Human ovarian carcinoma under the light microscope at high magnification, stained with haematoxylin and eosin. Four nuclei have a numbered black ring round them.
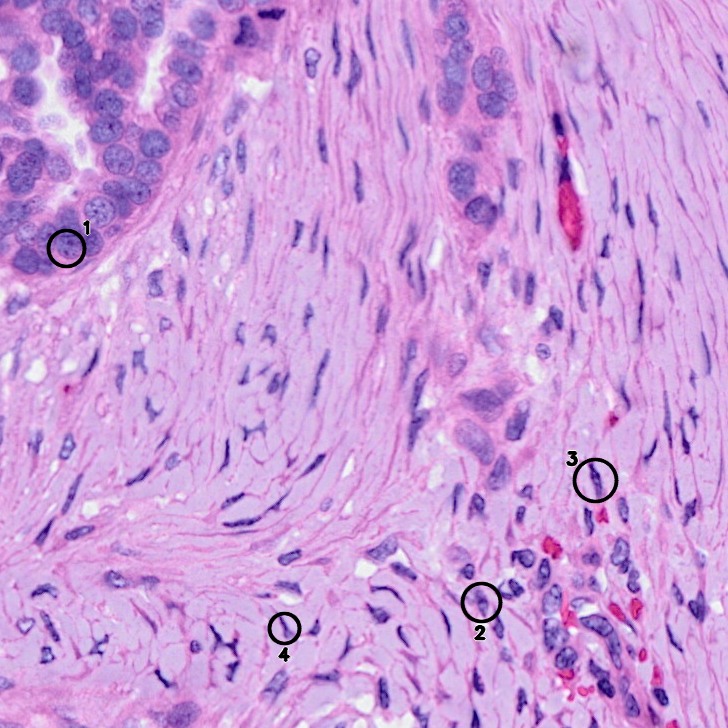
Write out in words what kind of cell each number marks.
Cell 1 is a carcinoma cell. Cells 2, 3 and 4 are fibroblasts.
